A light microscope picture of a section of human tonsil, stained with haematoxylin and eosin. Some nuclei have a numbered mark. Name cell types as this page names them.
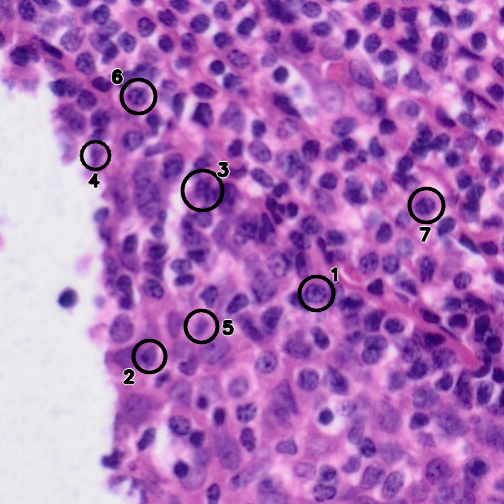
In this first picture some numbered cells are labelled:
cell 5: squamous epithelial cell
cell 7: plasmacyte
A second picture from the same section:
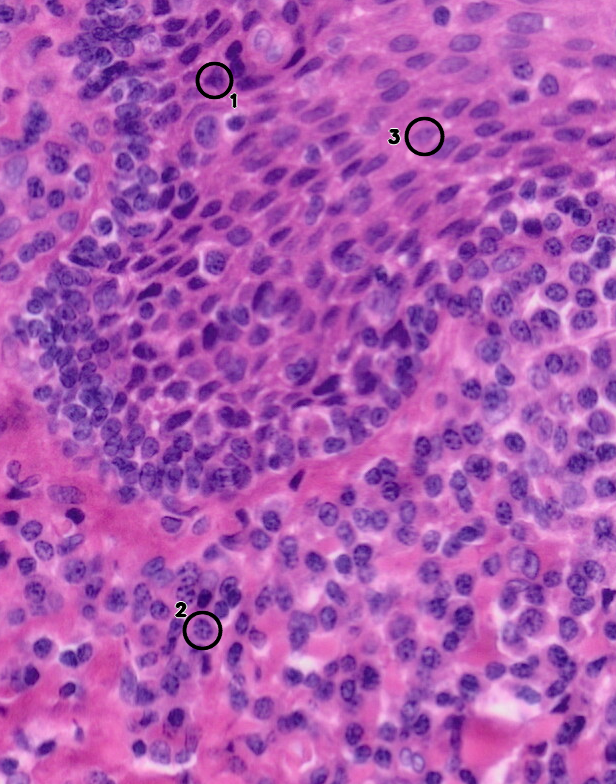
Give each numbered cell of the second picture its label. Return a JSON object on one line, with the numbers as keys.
{"1": "squamous epithelial cell", "2": "plasmacyte", "3": "squamous epithelial cell"}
